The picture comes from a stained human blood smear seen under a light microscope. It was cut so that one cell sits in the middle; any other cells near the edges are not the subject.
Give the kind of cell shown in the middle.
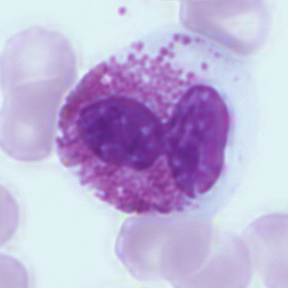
eosinophil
